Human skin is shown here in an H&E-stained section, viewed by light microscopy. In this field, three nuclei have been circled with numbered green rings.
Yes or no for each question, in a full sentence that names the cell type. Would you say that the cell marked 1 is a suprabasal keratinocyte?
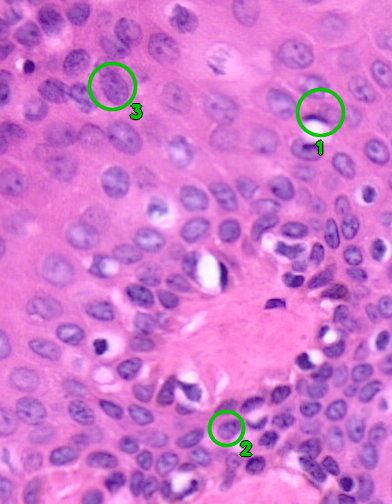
Yes, the marked cell number 1 is a suprabasal keratinocyte.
